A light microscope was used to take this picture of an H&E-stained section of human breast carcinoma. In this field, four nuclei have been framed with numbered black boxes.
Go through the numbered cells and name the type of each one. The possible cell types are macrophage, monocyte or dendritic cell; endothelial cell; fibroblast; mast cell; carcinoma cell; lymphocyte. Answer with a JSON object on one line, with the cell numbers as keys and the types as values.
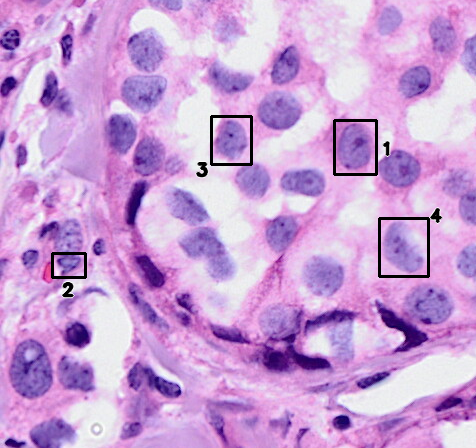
{"1": "carcinoma cell", "2": "endothelial cell", "3": "carcinoma cell", "4": "carcinoma cell"}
